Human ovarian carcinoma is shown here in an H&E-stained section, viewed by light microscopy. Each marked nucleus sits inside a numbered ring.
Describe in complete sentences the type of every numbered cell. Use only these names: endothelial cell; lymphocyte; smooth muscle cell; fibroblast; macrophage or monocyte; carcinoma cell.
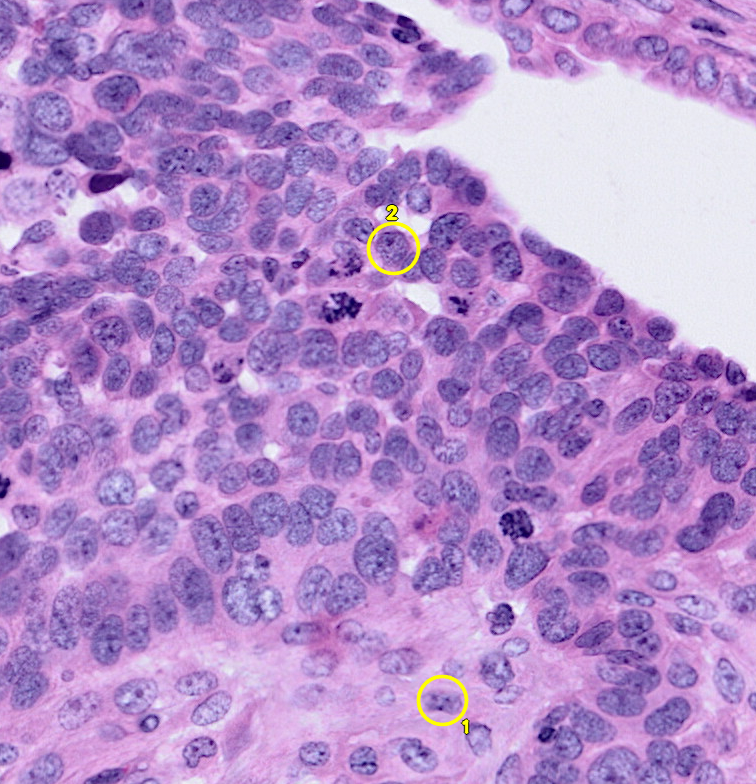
Cell 1 is a fibroblast. Cell 2 is a carcinoma cell.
